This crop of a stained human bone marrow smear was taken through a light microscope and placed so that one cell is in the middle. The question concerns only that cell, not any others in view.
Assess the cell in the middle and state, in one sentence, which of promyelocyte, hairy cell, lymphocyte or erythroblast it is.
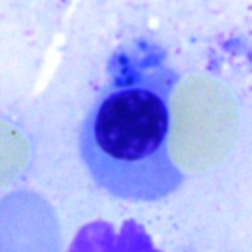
The middle of this crop is occupied by an erythroblast.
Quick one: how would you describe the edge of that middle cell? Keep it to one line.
Around its whole circumference the outline stays smooth, free of projections.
